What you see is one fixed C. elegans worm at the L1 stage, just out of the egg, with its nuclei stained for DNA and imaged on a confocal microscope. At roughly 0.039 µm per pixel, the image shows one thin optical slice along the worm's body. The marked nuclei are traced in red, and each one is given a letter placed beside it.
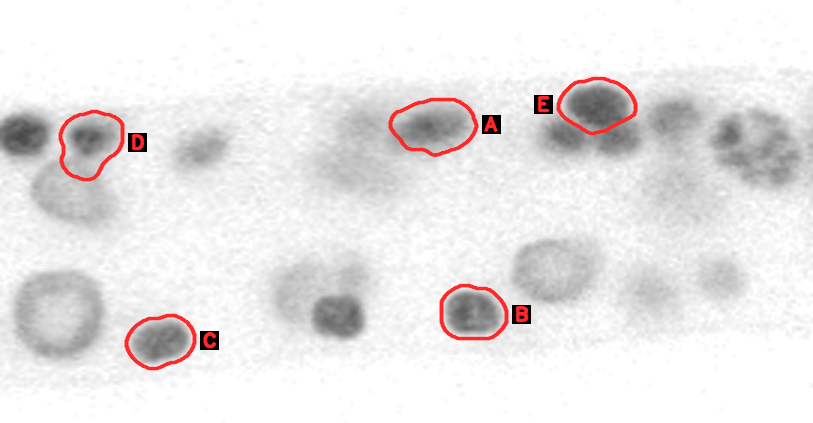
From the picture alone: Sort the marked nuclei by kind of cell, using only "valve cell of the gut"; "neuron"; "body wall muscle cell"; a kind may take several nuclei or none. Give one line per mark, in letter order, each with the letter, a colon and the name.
A: neuron
B: body wall muscle cell
C: body wall muscle cell
D: neuron
E: neuron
